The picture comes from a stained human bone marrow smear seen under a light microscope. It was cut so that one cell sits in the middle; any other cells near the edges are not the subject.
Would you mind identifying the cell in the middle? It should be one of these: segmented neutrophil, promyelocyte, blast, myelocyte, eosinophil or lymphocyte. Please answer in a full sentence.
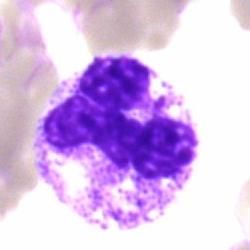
The cell the crop is centered on is a segmented neutrophil.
